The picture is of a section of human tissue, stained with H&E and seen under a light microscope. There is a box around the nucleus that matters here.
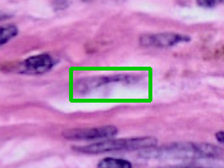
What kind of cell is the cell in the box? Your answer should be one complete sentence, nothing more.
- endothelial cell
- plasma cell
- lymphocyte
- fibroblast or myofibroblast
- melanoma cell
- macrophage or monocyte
It is as a fibroblast or myofibroblast that the cell in the box is recorded.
